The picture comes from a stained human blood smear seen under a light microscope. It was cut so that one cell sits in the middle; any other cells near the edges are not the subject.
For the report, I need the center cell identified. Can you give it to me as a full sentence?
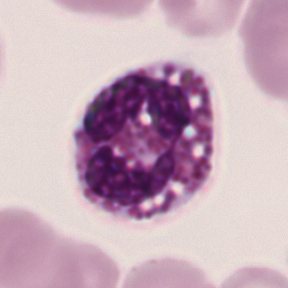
The centrally located cell in the crop is an eosinophil.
